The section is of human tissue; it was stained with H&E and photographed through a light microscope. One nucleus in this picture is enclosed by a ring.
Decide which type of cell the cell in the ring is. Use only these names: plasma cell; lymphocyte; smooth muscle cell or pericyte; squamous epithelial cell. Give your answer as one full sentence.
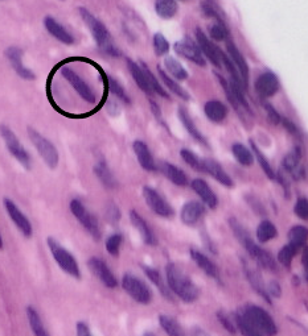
This is a squamous epithelial cell.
